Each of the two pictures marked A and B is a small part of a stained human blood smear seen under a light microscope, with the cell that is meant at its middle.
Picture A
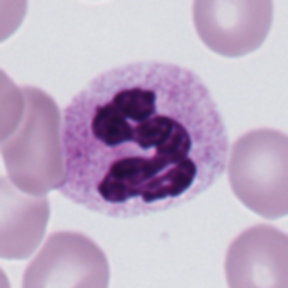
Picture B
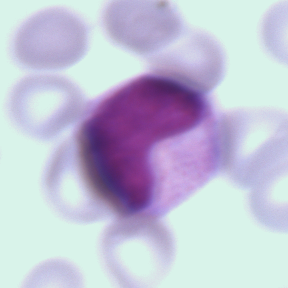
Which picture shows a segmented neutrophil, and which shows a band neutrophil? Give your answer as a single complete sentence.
Picture B shows a band neutrophil, while picture A shows a segmented neutrophil.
